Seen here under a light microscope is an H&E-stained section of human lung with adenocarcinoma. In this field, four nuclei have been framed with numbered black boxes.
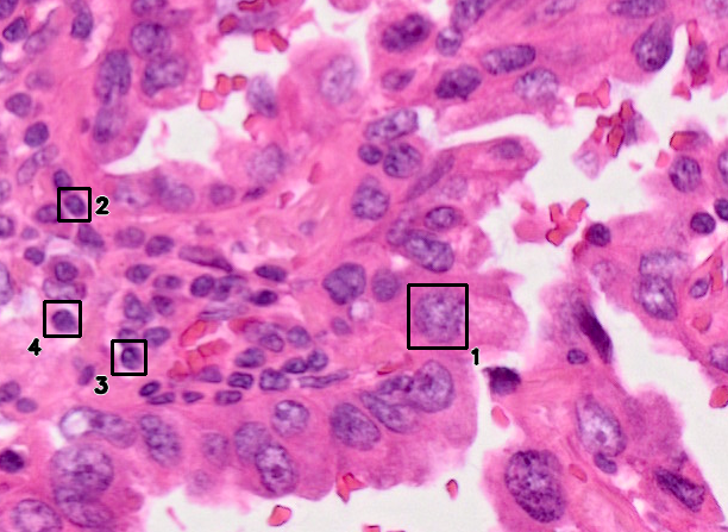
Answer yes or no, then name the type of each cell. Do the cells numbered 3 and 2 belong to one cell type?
Yes, cells 3 and 2 are both lymphocytes in this section.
